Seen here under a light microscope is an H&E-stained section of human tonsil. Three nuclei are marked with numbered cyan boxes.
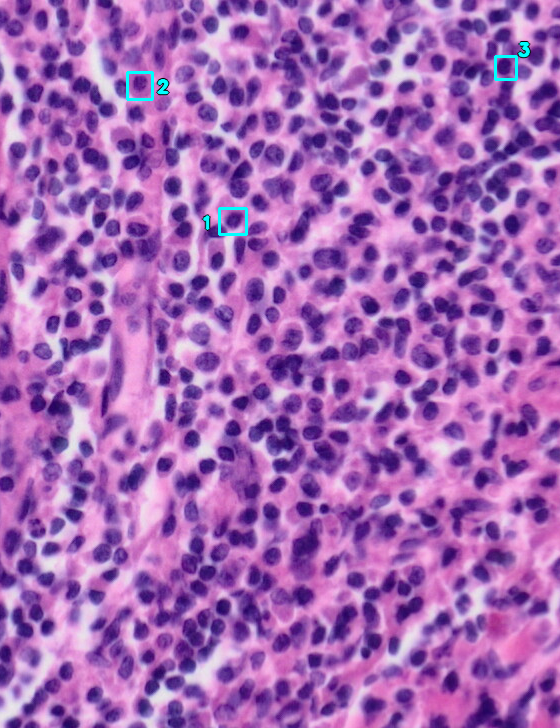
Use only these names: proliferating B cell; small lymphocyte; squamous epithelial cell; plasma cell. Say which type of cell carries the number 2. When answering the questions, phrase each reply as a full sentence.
The correct label for cell 2 is a plasma cell.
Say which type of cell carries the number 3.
Identified by the number 3, the cell is a small lymphocyte.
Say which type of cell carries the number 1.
Among the marked cells, number 1 is a plasma cell.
